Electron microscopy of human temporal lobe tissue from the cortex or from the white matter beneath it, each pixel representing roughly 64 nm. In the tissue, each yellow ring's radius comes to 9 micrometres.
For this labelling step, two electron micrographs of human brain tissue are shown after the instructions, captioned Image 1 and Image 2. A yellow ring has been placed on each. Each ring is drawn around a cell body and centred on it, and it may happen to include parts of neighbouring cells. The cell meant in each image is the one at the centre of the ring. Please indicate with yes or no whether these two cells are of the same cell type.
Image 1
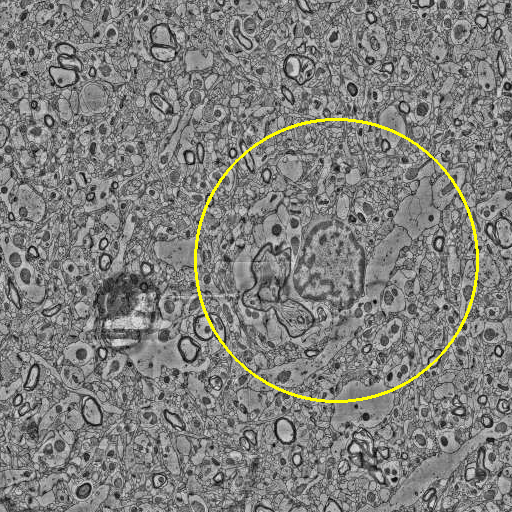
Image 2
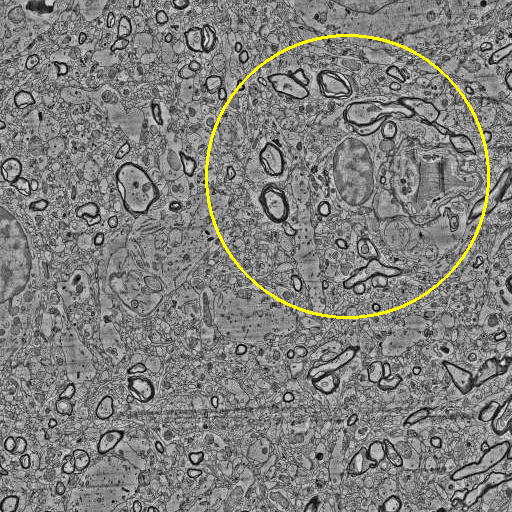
no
